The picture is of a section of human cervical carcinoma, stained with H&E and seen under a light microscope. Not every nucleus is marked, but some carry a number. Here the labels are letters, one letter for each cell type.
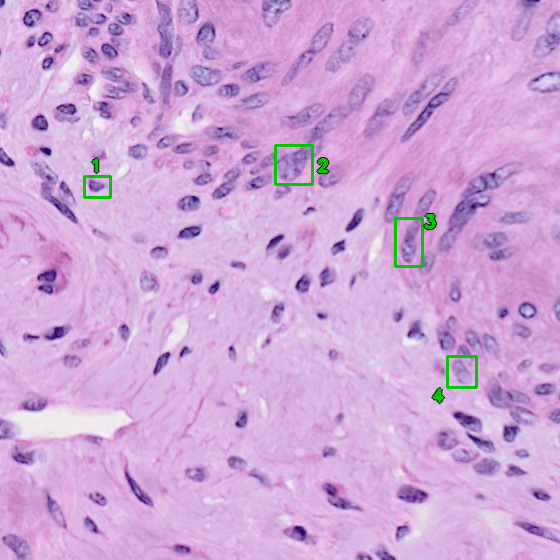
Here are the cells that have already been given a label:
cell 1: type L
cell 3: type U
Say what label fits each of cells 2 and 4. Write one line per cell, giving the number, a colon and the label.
2: type U
4: type U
